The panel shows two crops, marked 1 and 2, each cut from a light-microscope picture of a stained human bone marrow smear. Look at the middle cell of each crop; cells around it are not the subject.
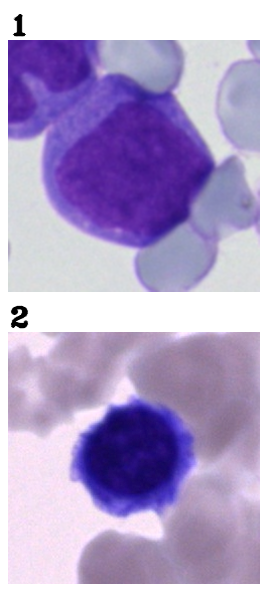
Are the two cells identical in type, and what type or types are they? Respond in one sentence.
No, an erythroblast is the cell of crop 2, while a blast is the cell of crop 1.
